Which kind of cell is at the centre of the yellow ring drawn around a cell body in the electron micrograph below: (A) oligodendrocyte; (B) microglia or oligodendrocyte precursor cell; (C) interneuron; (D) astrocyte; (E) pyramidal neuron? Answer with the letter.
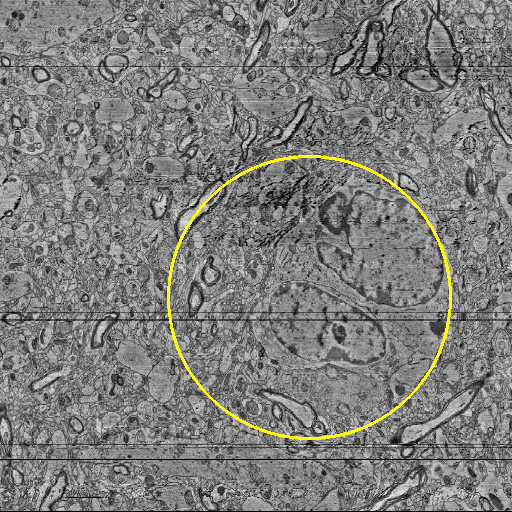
B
